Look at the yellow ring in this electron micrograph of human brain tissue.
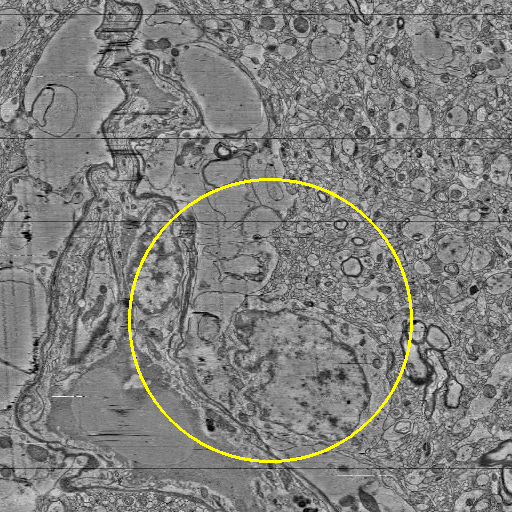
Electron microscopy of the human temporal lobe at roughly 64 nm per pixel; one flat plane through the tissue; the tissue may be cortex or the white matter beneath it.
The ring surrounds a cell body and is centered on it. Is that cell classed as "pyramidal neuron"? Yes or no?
No, it is of another kind.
